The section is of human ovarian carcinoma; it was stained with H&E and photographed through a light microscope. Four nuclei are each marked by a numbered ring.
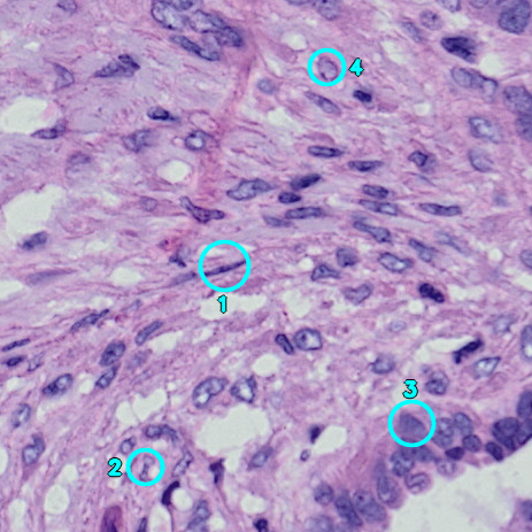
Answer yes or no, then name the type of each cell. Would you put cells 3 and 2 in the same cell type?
No, cell 3 is a carcinoma cell and cell 2 is a fibroblast.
